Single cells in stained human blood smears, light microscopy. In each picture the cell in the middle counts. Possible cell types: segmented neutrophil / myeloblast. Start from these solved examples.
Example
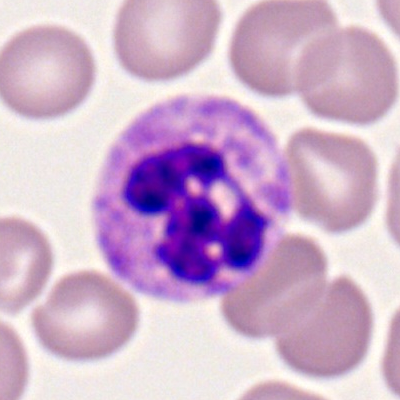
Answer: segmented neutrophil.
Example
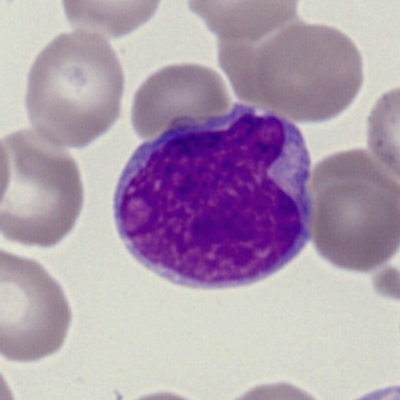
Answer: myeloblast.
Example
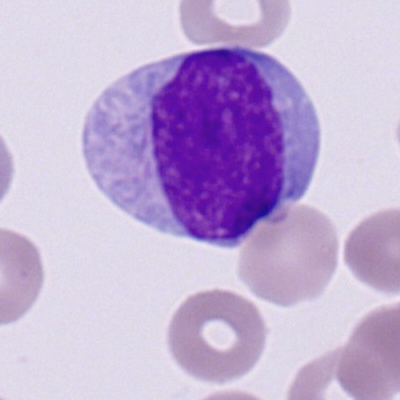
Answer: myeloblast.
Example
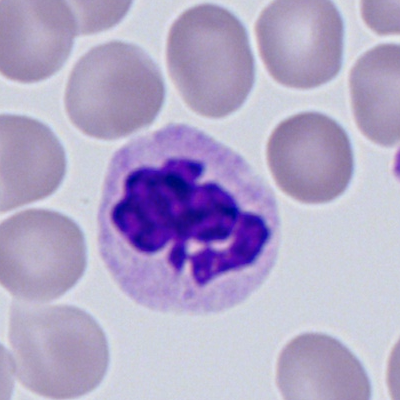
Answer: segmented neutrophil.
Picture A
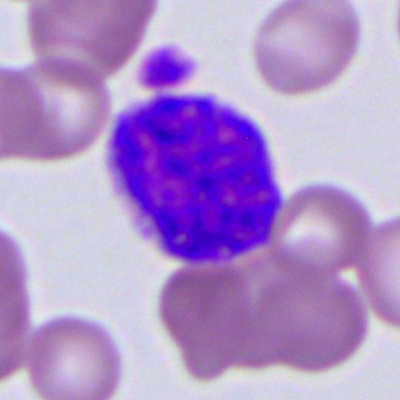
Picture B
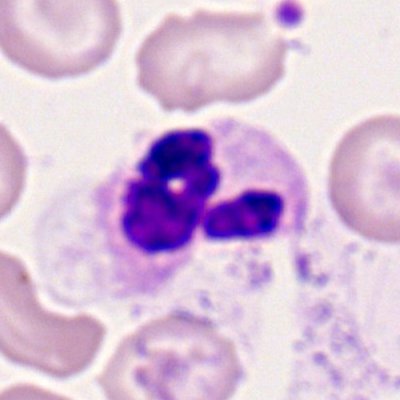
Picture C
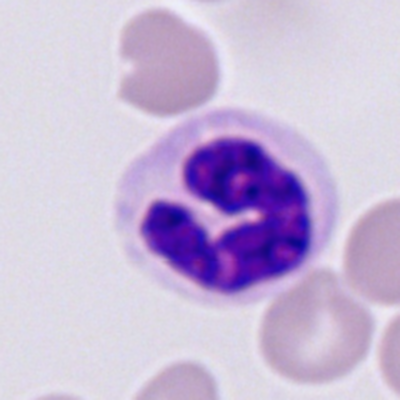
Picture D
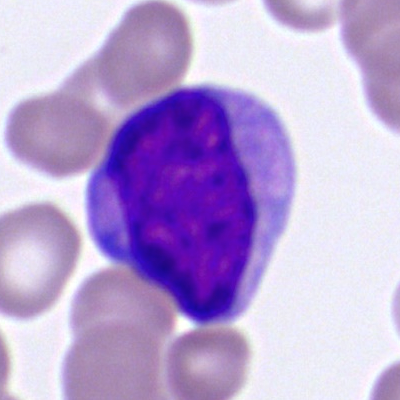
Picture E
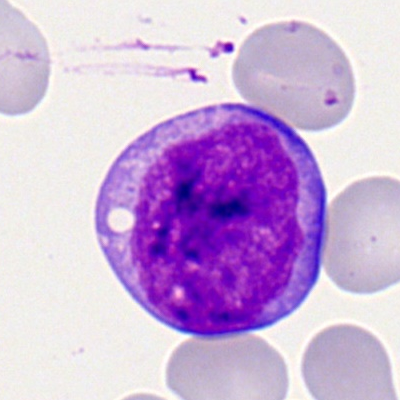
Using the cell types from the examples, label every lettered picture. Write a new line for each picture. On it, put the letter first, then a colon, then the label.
A: myeloblast.
B: segmented neutrophil.
C: segmented neutrophil.
D: myeloblast.
E: myeloblast.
